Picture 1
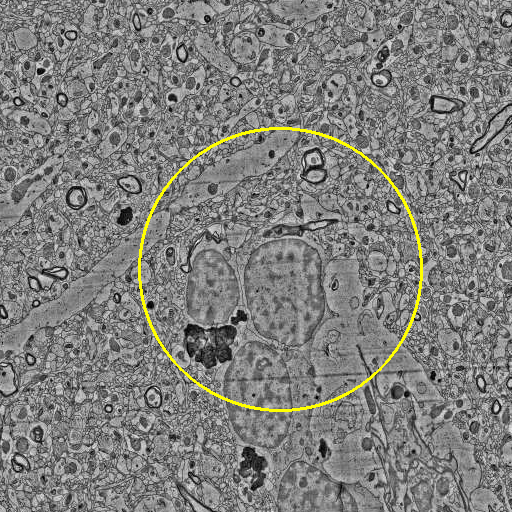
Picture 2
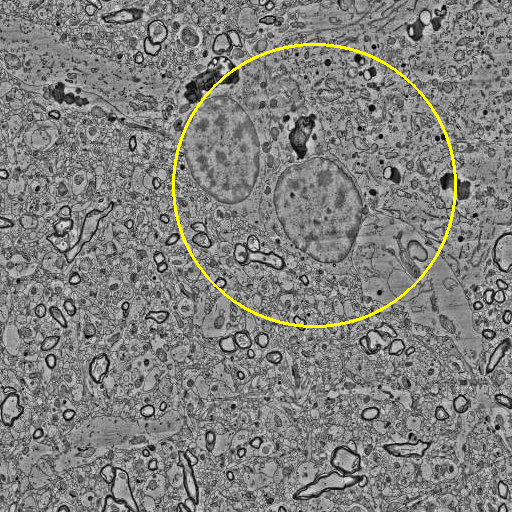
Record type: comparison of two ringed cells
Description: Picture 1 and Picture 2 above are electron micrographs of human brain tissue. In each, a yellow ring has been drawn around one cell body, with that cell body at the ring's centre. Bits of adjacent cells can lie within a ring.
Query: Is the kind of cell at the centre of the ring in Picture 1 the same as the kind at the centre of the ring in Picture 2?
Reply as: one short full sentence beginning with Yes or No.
Yes, the two ringed cells are of the same kind.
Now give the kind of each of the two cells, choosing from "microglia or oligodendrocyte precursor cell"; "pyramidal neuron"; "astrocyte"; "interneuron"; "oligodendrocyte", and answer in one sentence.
The ring centre holds an oligodendrocyte in each of the two pictures.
